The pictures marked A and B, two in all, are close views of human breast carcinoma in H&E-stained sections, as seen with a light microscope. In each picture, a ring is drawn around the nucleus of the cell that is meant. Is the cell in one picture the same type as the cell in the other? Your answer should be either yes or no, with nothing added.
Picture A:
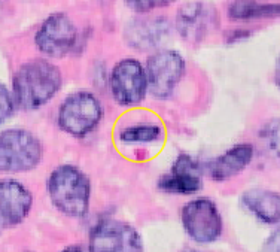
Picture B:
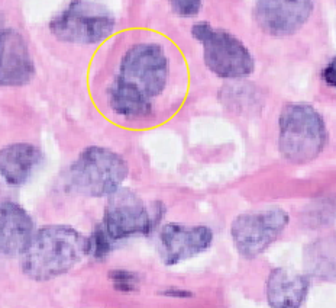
no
